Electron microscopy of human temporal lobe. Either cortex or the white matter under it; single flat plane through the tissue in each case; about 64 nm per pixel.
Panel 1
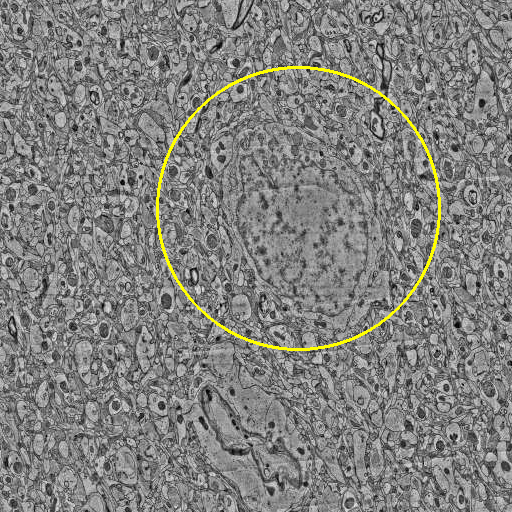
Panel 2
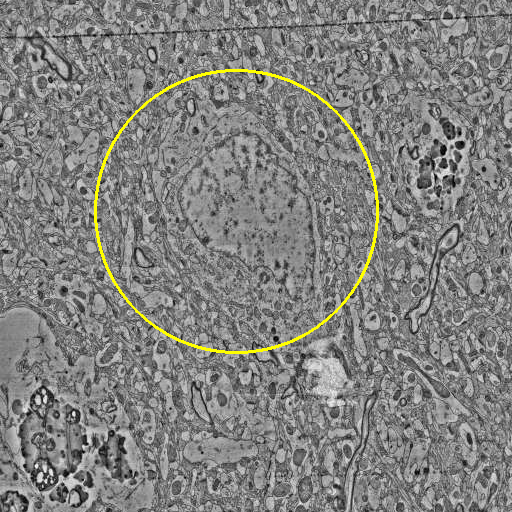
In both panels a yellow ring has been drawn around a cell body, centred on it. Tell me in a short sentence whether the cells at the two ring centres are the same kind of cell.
Yes, they are the same kind of cell.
